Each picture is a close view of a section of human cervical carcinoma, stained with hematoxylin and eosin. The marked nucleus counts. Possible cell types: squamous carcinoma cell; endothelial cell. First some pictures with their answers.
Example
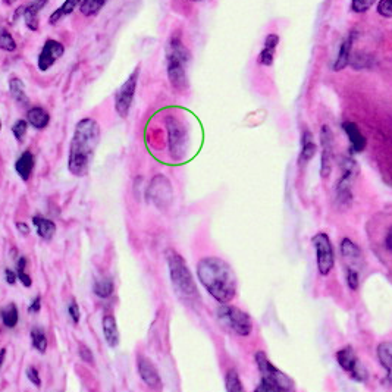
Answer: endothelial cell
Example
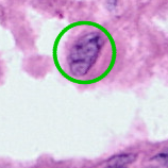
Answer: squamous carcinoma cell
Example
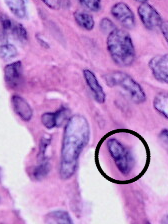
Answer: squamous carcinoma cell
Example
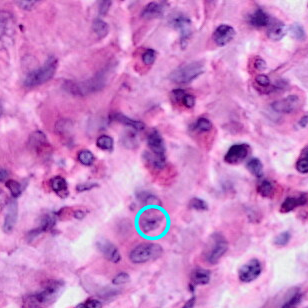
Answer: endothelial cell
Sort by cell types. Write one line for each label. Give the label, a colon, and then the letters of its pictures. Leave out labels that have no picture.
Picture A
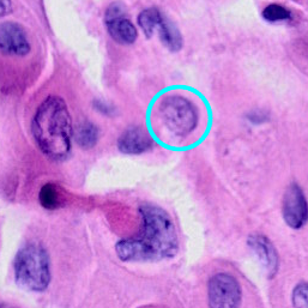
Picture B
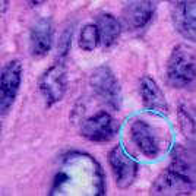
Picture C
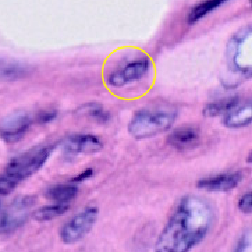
squamous carcinoma cell: A, B, C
